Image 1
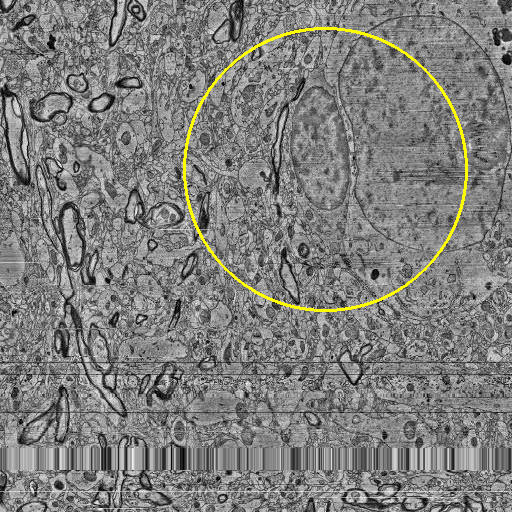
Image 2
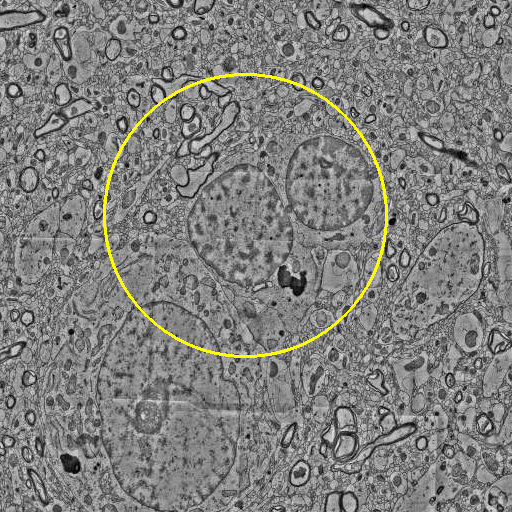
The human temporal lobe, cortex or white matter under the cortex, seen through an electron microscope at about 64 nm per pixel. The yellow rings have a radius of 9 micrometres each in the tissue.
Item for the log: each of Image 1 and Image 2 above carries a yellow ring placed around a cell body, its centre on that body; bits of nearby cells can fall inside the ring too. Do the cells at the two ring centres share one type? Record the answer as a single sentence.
Yes, the two cells at the ring centres in Image 1 and Image 2 share one type.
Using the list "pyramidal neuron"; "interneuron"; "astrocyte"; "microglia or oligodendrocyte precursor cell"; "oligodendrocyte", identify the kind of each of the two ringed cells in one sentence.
Each one of the two ringed cells is an oligodendrocyte.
